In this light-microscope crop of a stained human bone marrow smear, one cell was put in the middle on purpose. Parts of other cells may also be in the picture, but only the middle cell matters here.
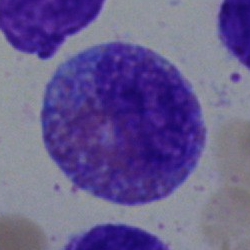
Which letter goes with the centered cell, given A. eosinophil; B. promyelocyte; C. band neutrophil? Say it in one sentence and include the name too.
Option A holds up: the cell in the middle is an eosinophil.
